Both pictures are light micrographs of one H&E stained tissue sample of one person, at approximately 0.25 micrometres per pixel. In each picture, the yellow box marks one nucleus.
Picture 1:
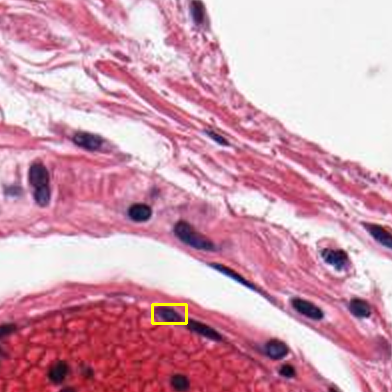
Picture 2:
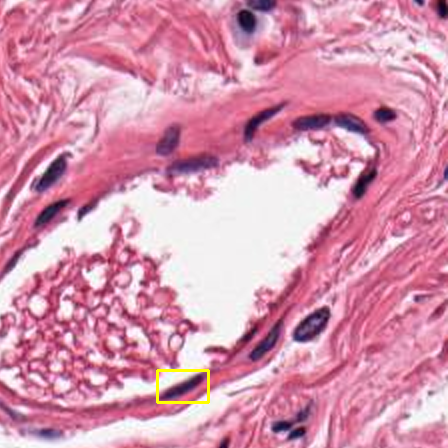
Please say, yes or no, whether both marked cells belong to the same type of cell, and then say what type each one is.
Yes, both are endothelial cells.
